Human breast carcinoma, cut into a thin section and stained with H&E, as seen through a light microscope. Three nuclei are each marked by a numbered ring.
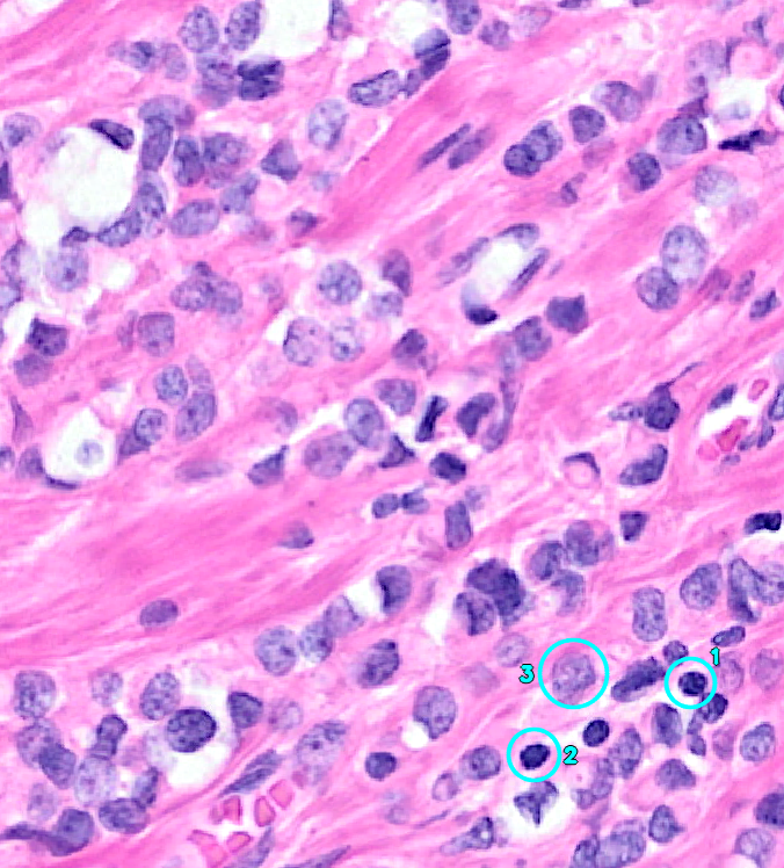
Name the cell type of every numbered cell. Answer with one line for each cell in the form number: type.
1: lymphocyte
2: lymphocyte
3: carcinoma cell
